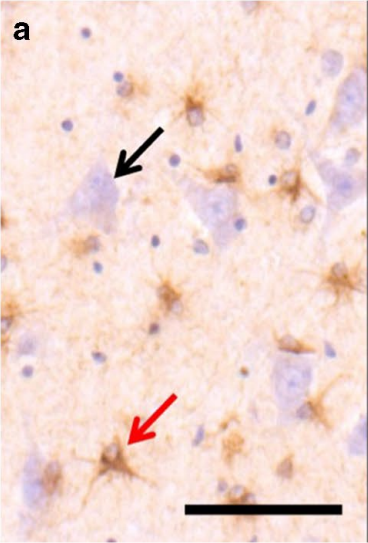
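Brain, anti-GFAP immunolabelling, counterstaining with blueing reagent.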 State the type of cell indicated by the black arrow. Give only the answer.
Neurons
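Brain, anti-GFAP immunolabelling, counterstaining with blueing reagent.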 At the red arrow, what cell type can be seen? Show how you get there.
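The marked cell is small with a dark brown centre. Many thin brown processes radiate from it in a star shape. Several similar star-shaped brown cells are scattered across the field.
Answer: astrocytes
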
